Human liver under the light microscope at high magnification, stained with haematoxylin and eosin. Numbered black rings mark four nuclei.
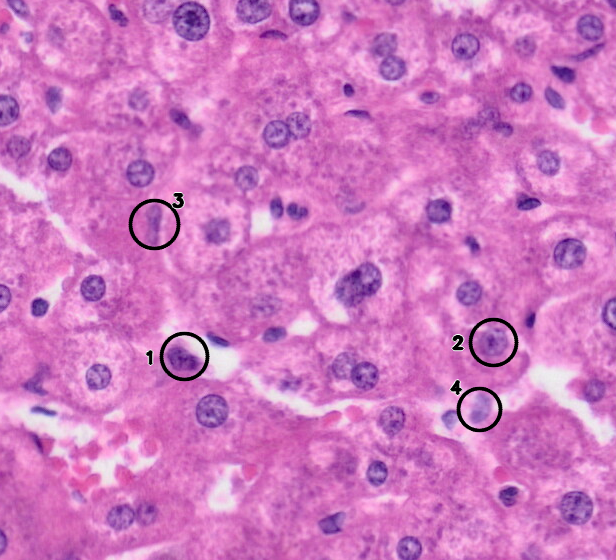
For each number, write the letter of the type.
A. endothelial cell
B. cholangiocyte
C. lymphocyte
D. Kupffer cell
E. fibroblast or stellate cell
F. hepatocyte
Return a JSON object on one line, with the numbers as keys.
{"1": "D", "2": "F", "3": "D", "4": "A"}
